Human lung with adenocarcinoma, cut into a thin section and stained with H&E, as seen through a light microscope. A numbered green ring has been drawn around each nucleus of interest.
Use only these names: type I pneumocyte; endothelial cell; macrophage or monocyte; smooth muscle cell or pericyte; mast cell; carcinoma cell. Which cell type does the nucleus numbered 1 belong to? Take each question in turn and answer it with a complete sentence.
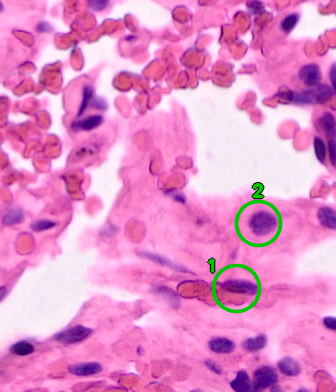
The cell indicated by marker 1 is an endothelial cell in this section.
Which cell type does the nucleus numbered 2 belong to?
Identified as a type I pneumocyte is the cell bearing the number 2.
